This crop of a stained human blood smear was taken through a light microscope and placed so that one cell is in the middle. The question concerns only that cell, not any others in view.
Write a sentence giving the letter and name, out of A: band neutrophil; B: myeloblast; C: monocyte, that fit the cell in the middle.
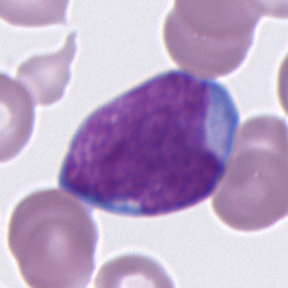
Option B is correct; the cell in the middle is a myeloblast.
